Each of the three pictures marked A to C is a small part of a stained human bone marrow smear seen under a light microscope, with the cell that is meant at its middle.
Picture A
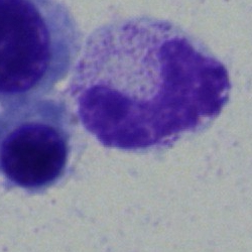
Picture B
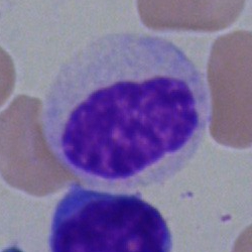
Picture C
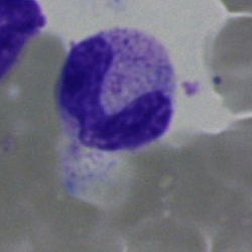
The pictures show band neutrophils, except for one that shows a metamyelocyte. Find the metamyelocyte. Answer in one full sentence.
Picture B is the one that shows the metamyelocyte.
